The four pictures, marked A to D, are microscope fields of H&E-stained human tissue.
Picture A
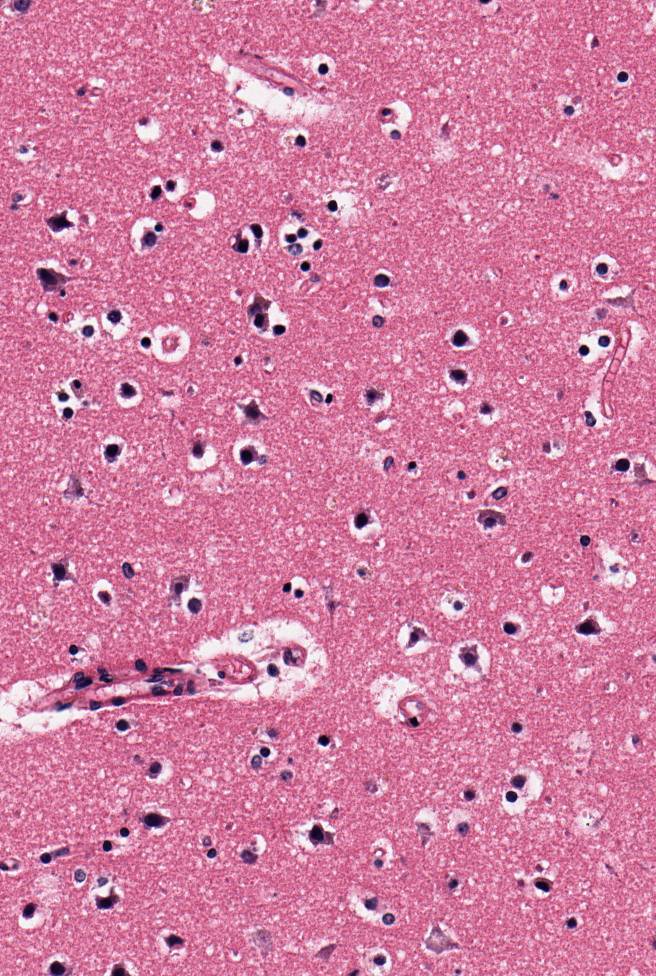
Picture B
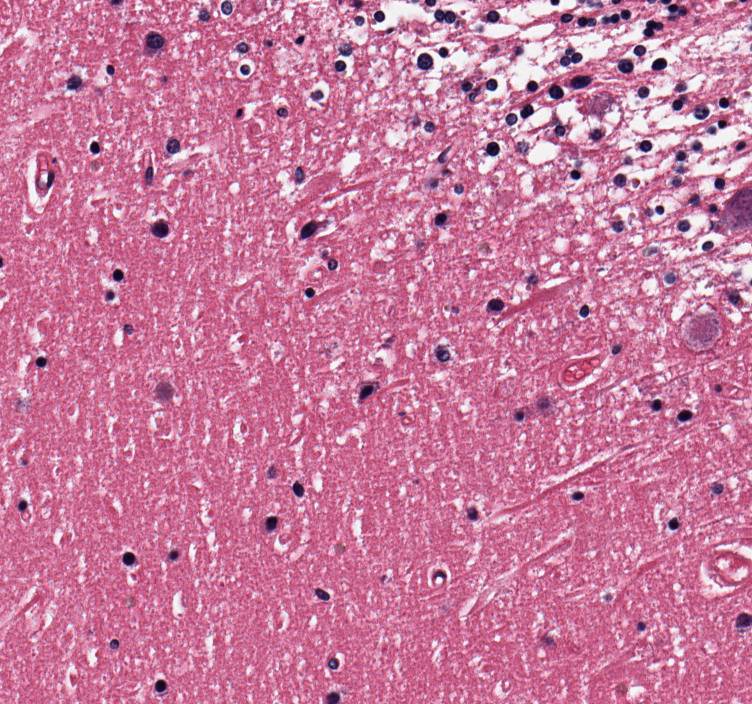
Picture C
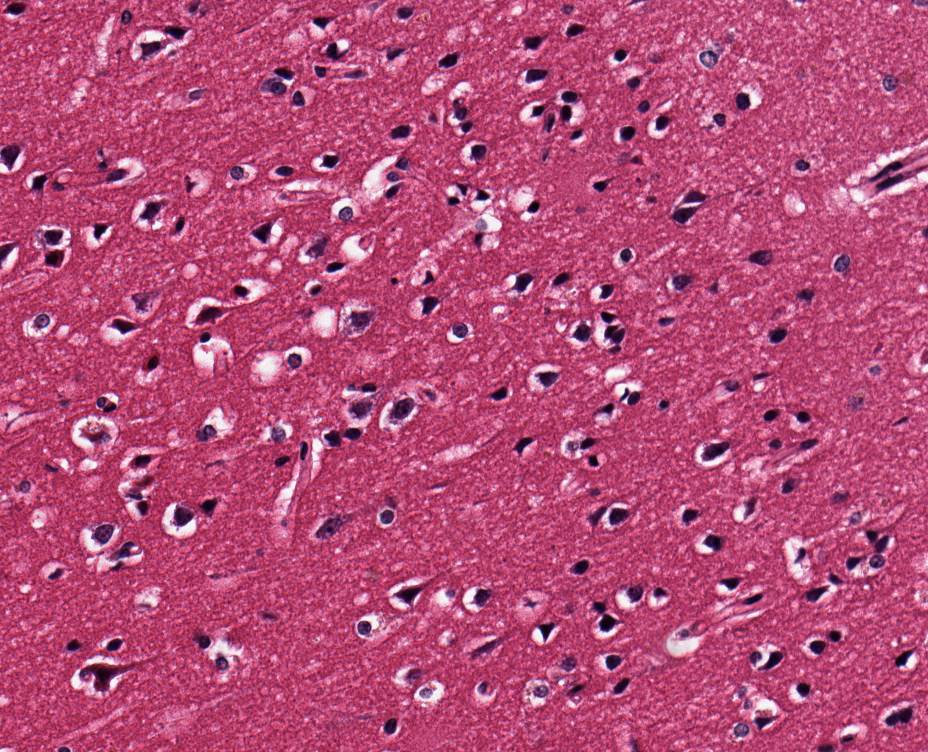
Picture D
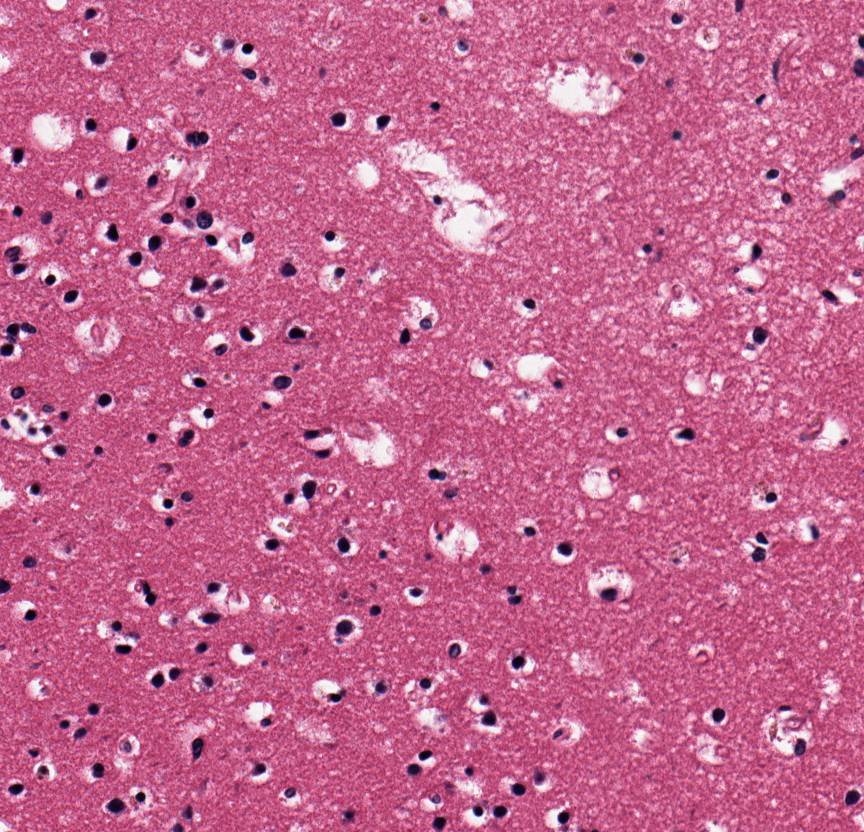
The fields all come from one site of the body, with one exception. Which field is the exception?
B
